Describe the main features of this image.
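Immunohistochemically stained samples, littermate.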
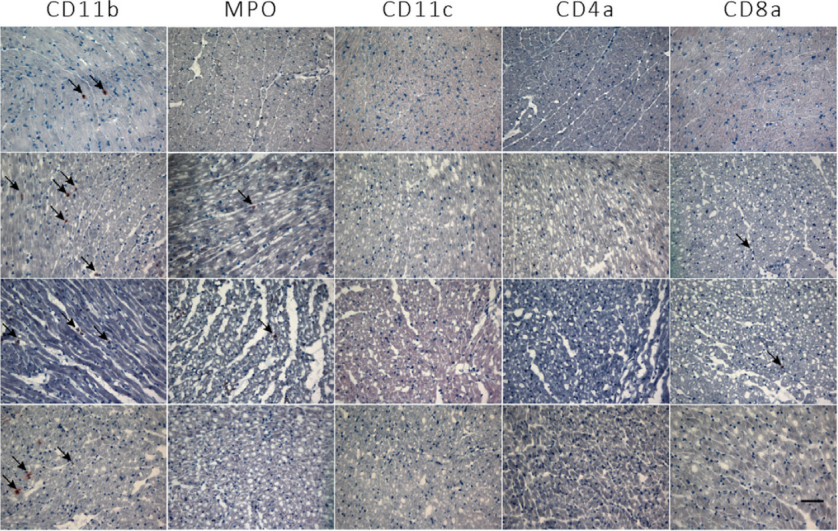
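Grid of heart muscle sections, with fibres cut longitudinally in some fields and transversely in others. Blue nuclei are spread evenly through pale, faintly pink-grey muscle. Few, small, scattered brown-stained cells lie between the fibres, and black arrows point to them. Most fields contain no brown cells.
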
